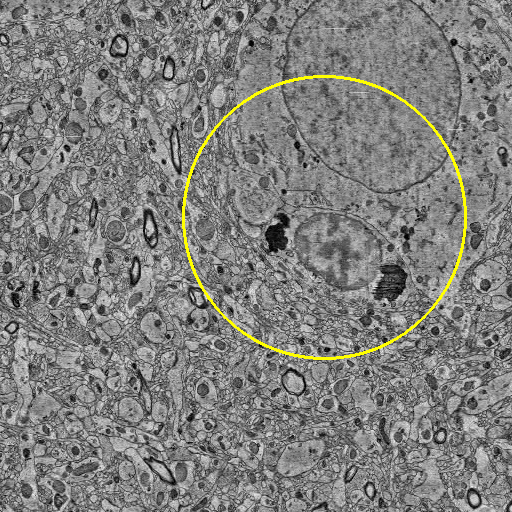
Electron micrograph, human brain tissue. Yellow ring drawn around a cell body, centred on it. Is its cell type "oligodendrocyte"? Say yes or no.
yes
